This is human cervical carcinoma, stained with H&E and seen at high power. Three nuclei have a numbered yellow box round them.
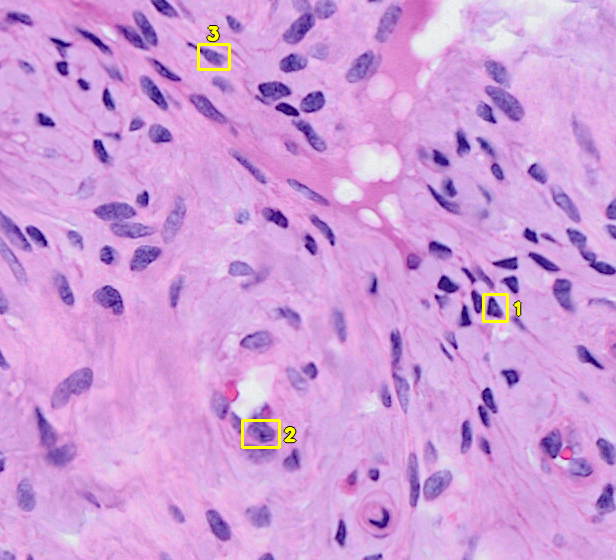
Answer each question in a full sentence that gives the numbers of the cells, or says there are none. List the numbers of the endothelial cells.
Cell 2 is an endothelial cell, and this holds for no other numbered cell.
